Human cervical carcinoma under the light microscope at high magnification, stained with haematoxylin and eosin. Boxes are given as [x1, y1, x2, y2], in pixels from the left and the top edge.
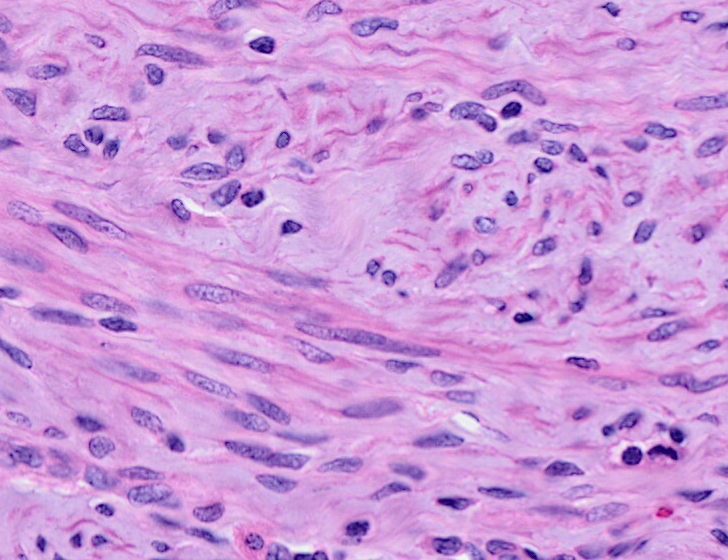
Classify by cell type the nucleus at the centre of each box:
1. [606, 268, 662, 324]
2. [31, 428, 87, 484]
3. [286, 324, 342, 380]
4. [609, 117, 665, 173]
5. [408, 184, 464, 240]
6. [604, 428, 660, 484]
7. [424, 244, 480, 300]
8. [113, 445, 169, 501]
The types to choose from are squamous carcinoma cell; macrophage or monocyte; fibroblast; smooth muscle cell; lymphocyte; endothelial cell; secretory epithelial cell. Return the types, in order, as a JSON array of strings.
["smooth muscle cell", "endothelial cell", "smooth muscle cell", "smooth muscle cell", "smooth muscle cell", "lymphocyte", "smooth muscle cell", "endothelial cell"]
